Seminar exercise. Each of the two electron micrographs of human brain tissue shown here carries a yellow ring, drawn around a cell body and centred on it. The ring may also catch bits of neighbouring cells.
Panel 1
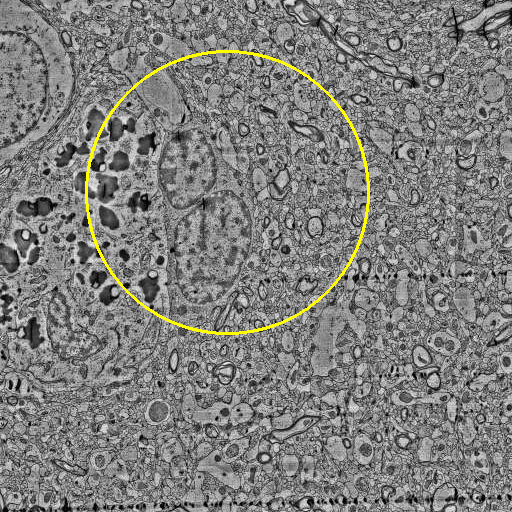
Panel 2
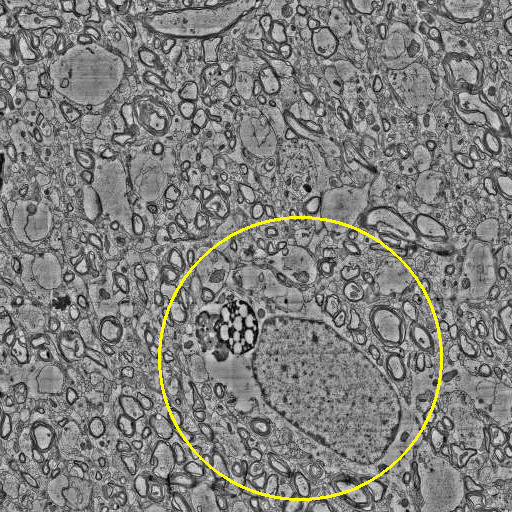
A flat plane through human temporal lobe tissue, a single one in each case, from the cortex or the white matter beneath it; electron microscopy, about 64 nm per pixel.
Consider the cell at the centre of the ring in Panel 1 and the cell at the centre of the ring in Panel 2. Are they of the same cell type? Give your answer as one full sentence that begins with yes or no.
No, the two cells are of two types.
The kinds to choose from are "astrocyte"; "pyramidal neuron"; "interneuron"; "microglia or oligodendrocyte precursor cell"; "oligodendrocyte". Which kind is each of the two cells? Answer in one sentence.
Of the two, the first cell is an oligodendrocyte and the second cell is an astrocyte.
